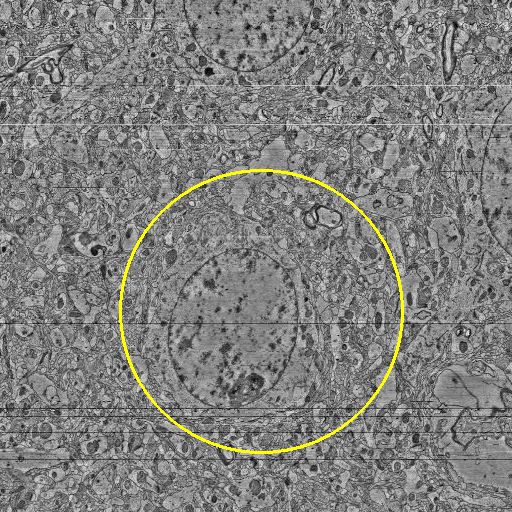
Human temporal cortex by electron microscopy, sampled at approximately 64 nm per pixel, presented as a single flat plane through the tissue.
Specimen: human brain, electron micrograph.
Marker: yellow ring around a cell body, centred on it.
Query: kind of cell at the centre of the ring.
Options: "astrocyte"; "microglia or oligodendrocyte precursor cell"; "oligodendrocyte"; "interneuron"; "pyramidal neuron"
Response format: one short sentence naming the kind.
This cell body belongs to a pyramidal neuron.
